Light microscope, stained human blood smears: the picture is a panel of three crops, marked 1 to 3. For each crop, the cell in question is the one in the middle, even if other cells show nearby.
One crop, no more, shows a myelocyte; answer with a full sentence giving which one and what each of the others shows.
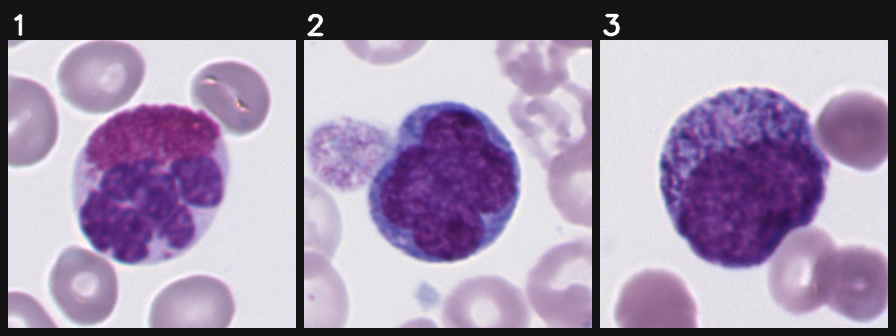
With respect to crop 3, the cell is a myelocyte, whereas crop 1 is an eosinophil and crop 2 is a monocyte.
